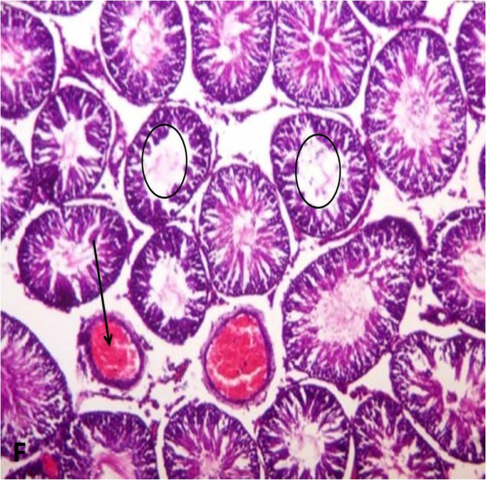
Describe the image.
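This low-power view of the testis shows many round seminiferous tubules packed closely side by side. Each tubule has a thick purple rim of stratified germ cells around a paler central lumen. In several lumens the centre is pale with only sparse wispy material. Between the tubules, two rounded vessels stand out, filled densely with bright red blood. The interstitial spaces between tubules are otherwise narrow and pale.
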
